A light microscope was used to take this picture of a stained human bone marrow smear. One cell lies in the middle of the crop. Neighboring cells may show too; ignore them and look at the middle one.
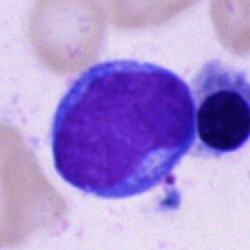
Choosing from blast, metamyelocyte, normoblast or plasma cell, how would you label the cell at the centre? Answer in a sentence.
Within this crop, a blast occupies the central position.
